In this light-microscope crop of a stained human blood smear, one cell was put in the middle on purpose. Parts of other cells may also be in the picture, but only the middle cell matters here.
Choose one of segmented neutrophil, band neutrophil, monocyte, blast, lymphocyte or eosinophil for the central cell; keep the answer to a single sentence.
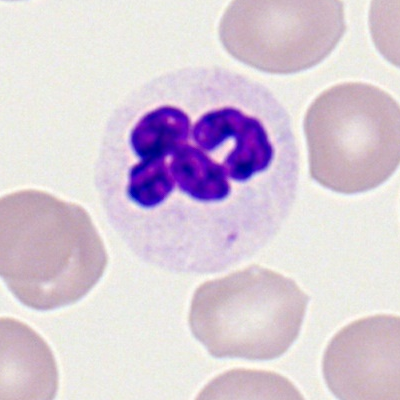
The cell shown in the center of this light-microscope crop is a segmented neutrophil.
